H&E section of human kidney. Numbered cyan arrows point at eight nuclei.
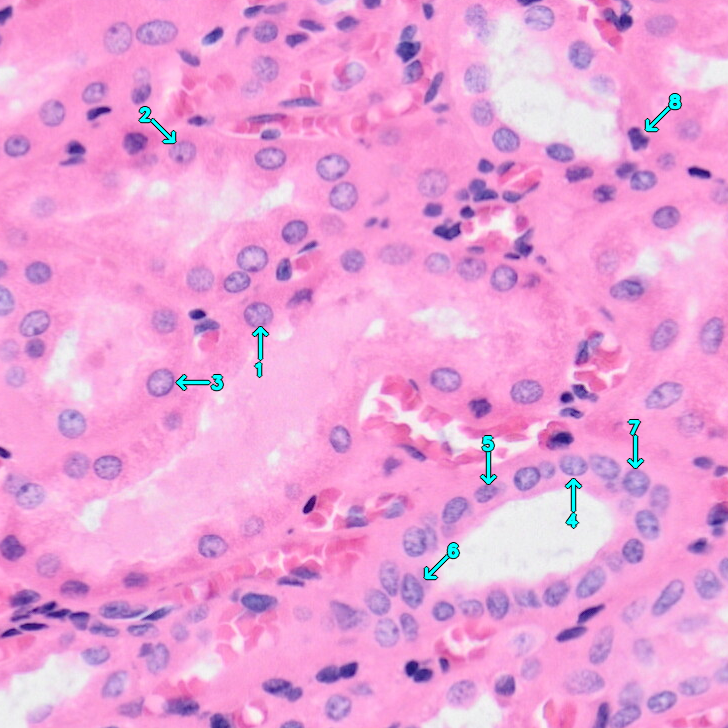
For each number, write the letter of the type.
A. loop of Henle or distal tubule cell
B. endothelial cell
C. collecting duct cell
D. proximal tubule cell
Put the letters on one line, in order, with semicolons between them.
D; D; D; C; C; C; C; A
